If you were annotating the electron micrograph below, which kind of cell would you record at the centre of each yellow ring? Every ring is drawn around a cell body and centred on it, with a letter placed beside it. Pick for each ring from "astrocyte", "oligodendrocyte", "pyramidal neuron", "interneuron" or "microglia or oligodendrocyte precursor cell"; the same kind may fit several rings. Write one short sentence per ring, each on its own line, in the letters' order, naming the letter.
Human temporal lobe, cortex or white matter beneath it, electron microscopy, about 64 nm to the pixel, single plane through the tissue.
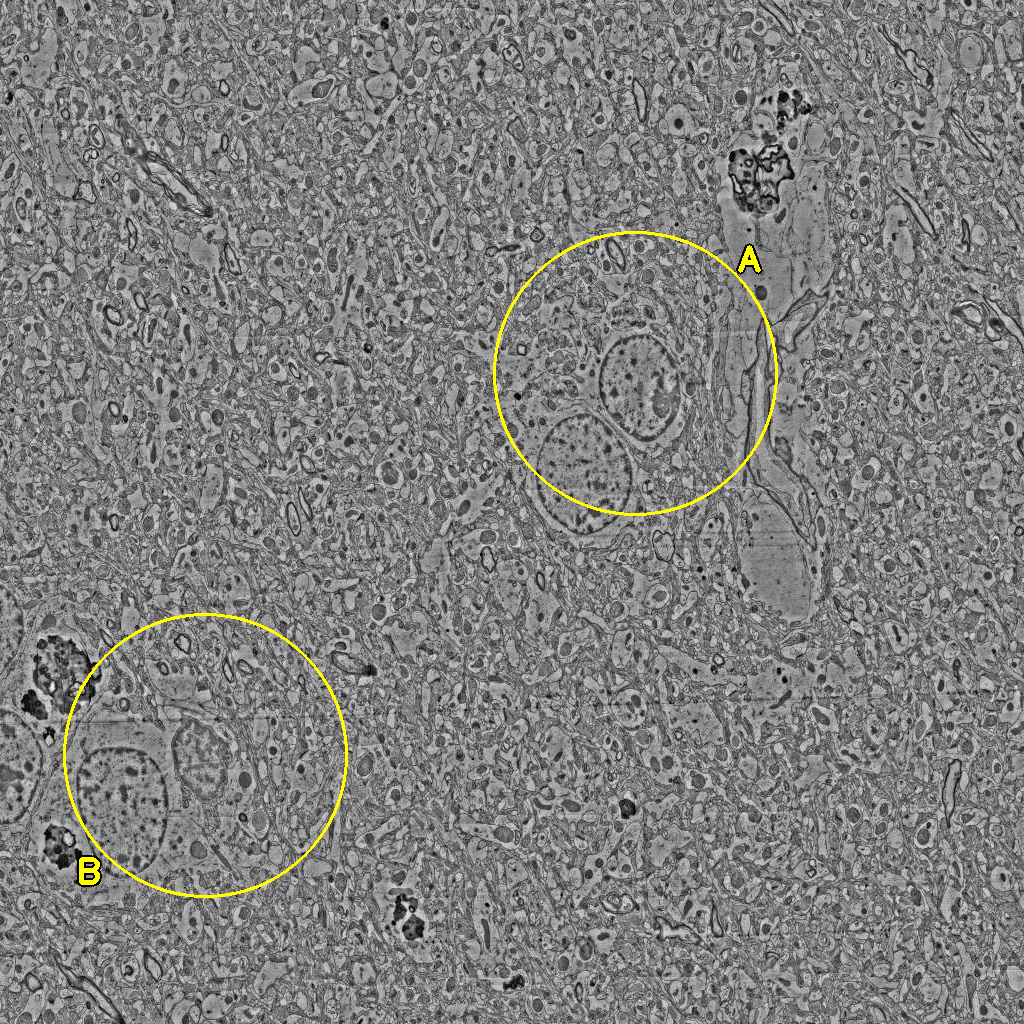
For ring A, I would record an astrocyte.
For ring B, I would record an oligodendrocyte.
